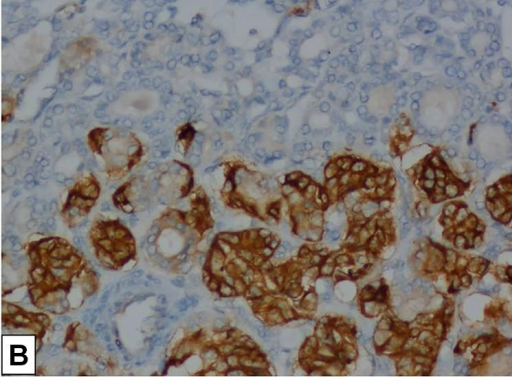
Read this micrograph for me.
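The stained cells form rounded nests in the lower part of the field, with dense brown granular cytoplasm around pale blue nuclei. Above them lie small follicle-like structures lined by cells with blue nuclei and no brown stain, some with empty lumina. The brown nests are sharply demarcated from the surrounding unstained tissue.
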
